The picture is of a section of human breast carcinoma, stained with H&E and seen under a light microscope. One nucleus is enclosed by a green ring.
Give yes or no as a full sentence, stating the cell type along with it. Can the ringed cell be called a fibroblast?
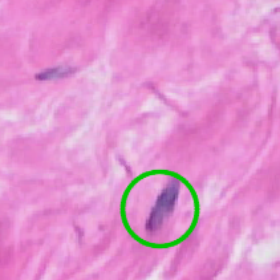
Yes, the ringed cell qualifies as a fibroblast in this section.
